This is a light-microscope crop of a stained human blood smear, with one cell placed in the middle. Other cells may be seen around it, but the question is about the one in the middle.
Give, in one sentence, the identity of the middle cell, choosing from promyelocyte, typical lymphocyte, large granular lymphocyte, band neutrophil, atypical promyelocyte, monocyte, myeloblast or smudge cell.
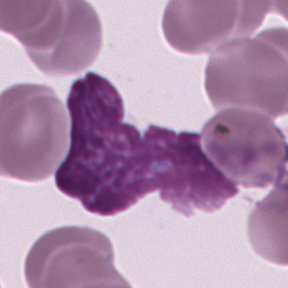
The cell that lies at the centre of the crop is a smudge cell.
